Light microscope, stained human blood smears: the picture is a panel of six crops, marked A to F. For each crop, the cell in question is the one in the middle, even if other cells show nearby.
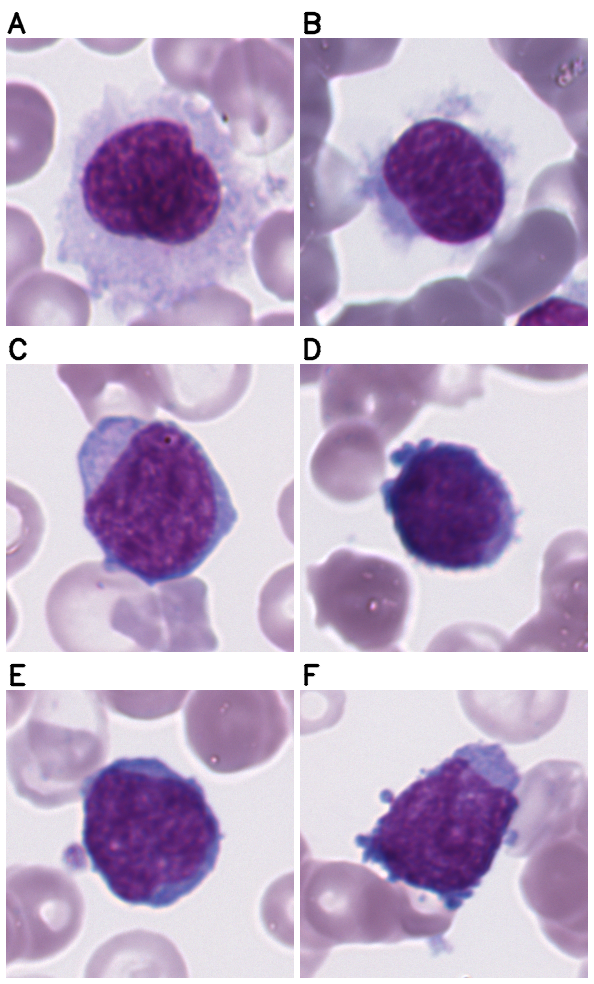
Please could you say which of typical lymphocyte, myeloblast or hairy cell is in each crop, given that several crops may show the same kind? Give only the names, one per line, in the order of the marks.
hairy cell
hairy cell
myeloblast
myeloblast
myeloblast
myeloblast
